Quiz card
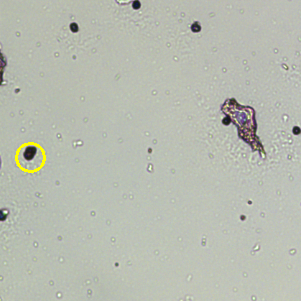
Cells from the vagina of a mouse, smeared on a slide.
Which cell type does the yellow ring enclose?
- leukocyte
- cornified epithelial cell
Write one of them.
leukocyte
